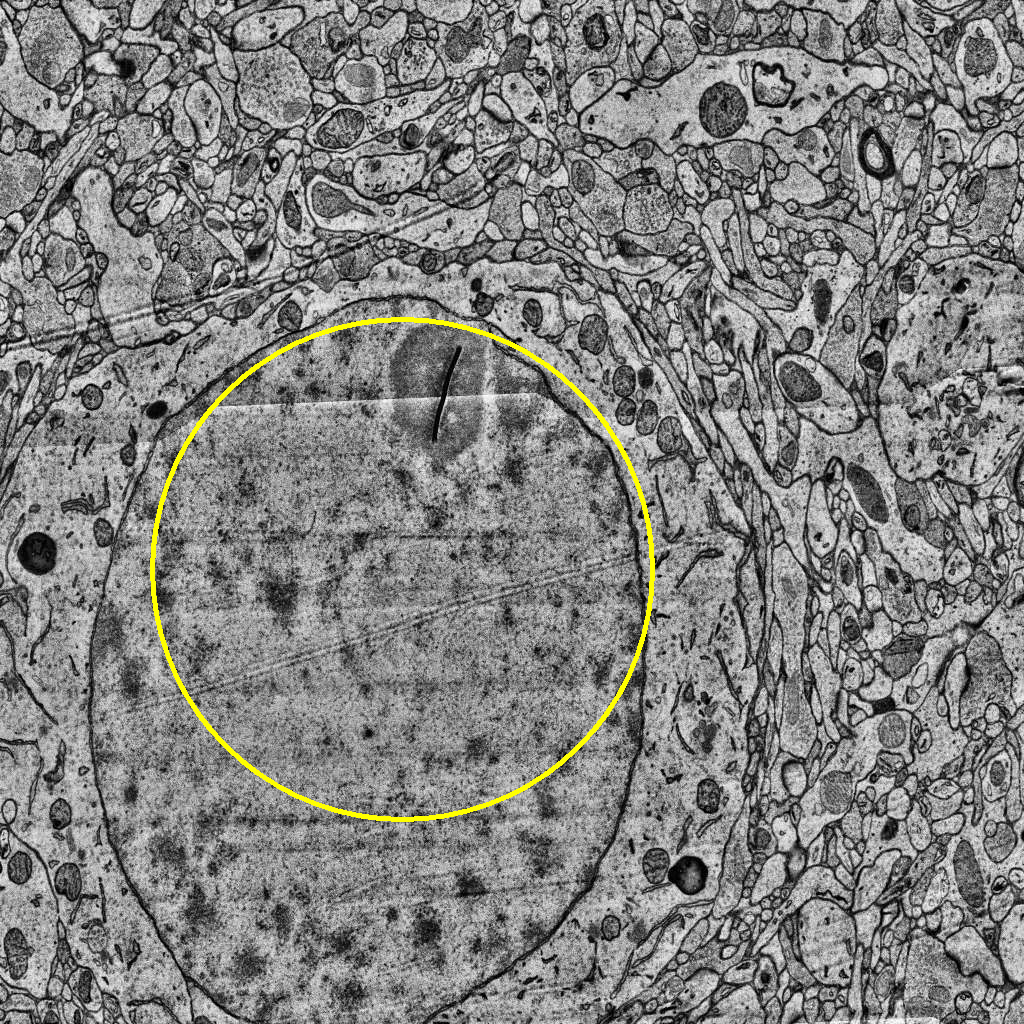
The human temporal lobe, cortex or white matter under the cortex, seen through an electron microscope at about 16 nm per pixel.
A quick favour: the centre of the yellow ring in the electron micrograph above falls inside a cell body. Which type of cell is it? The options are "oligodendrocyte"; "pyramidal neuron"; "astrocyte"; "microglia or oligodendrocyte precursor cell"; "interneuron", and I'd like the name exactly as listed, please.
pyramidal neuron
